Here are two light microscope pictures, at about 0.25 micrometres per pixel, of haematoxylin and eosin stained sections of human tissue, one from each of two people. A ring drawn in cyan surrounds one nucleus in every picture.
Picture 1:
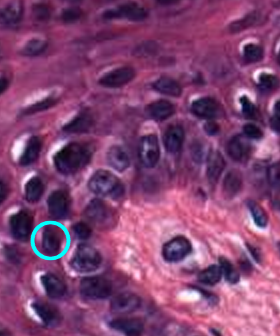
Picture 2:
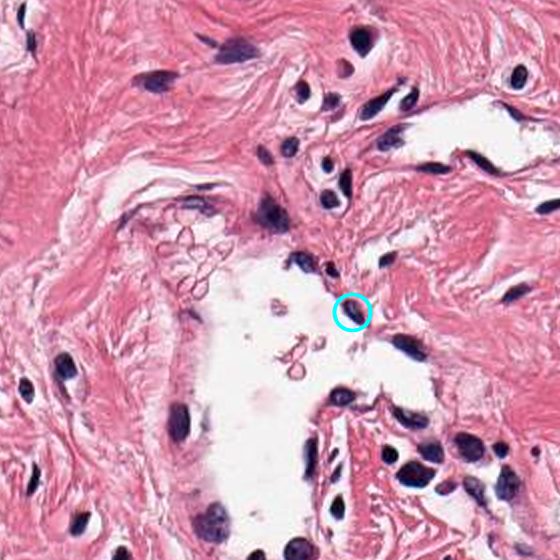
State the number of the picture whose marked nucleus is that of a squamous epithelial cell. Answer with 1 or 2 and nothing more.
1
